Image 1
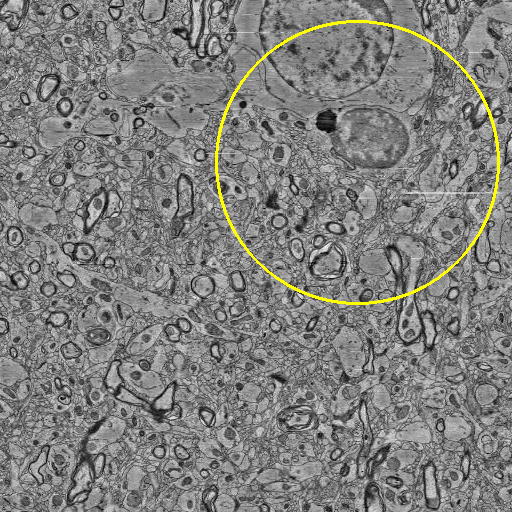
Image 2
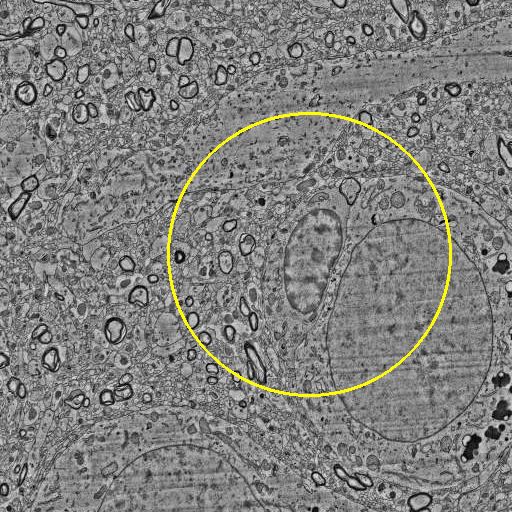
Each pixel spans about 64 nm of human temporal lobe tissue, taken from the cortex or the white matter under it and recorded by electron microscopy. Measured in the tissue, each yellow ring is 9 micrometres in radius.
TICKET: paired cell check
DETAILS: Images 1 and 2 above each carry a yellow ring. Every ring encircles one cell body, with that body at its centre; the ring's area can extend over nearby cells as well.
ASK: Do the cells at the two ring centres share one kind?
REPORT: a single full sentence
Yes, the ring-centre cells of Images 1 and 2 belong to a single kind.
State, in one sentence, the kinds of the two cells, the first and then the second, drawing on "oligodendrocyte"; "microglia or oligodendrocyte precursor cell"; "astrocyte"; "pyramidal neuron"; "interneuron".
Each of the two cells is an oligodendrocyte.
